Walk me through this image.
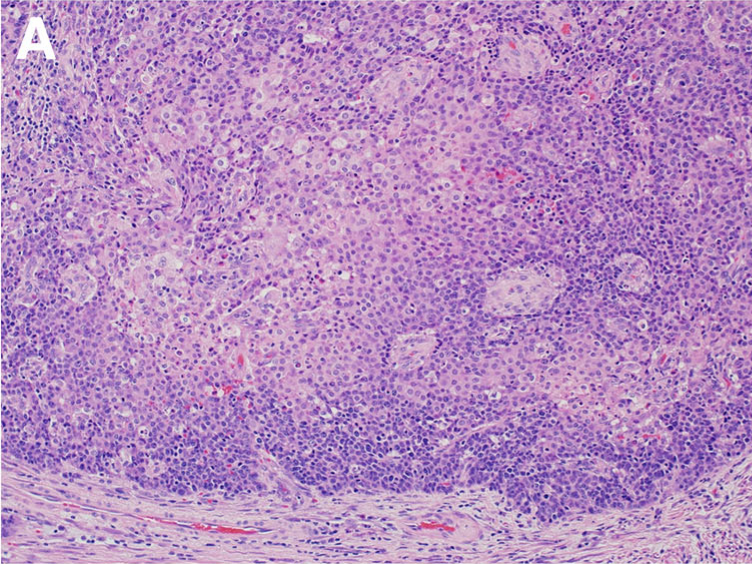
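At low magnification, this tumor shows densely packed cells growing in solid sheets and nests, with no glands. The cells have dark purple nuclei. Paler, more eosinophilic areas of cells stand out within darker sheets, and a band of fibrous stroma borders the mass at the bottom.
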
